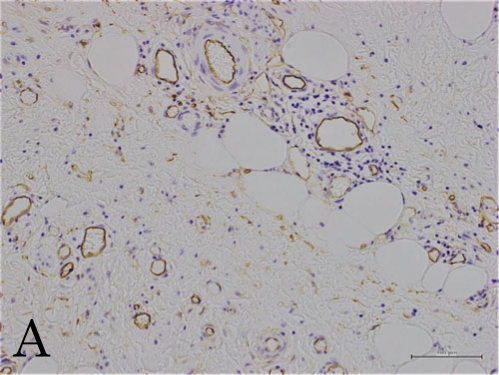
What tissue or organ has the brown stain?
Vascular endothelium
